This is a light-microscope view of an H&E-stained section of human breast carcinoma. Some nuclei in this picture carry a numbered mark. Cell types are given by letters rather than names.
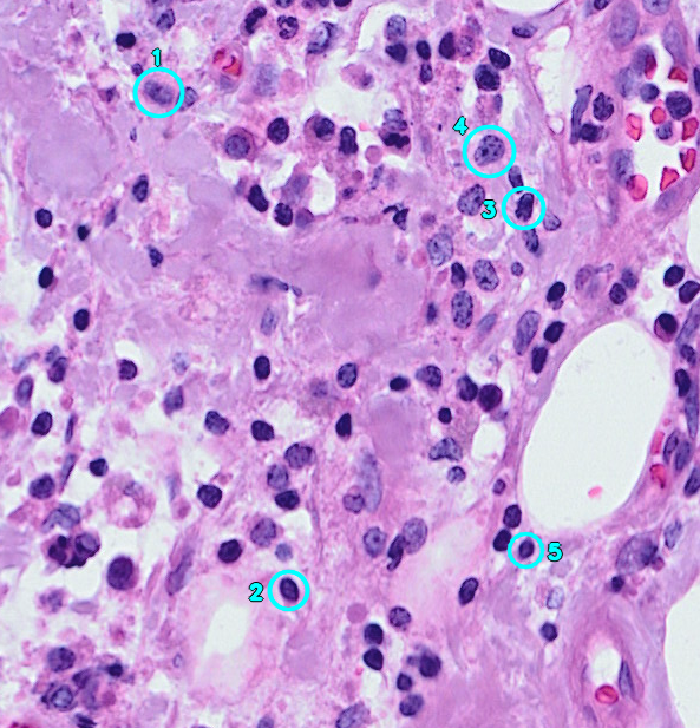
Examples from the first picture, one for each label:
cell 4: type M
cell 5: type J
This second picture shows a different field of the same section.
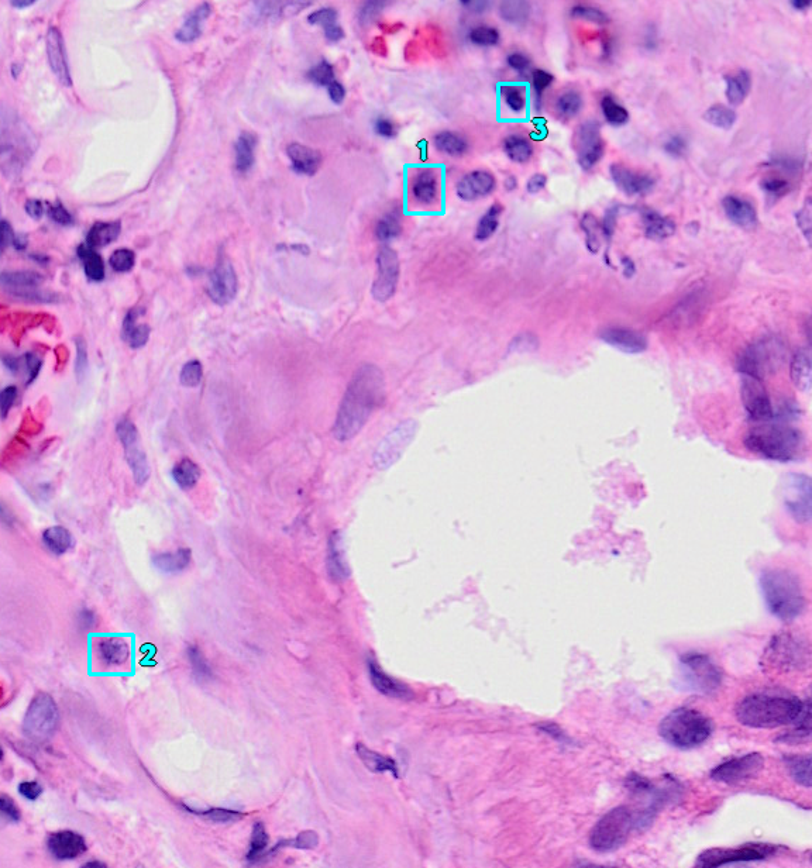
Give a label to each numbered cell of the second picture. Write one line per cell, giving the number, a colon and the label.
1: type M
2: type M
3: type J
